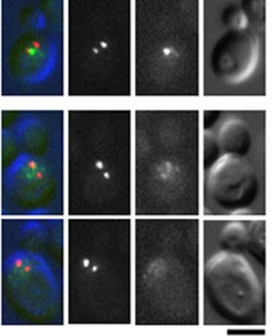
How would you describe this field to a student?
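Budding yeast cells are shown in rows, each as a colour overlay with separate grey single-channel images and a transmitted-light image of oval, budded cells. Every cell has two small red dots lying close together. In the top row a single bright green focus sits near and between the two red dots.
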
